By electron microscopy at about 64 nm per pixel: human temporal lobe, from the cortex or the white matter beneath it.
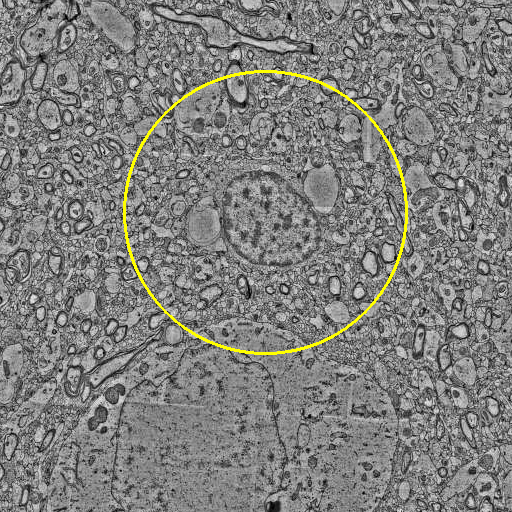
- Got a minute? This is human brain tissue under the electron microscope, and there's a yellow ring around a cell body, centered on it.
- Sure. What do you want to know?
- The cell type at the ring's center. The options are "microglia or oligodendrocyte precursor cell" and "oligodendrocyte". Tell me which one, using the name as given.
oligodendrocyte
